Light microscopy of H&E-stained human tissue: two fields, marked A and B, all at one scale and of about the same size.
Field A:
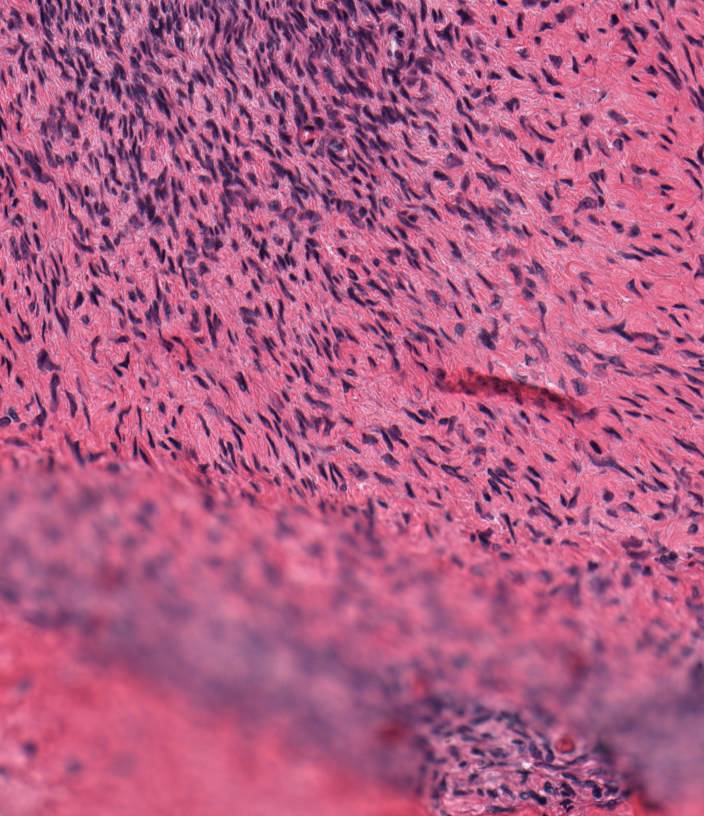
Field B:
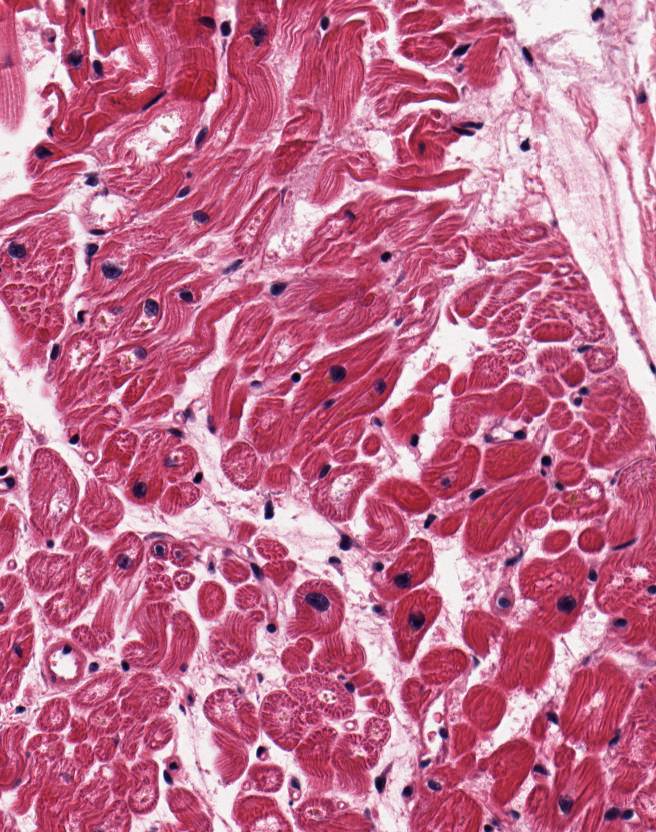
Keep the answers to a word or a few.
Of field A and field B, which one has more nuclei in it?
A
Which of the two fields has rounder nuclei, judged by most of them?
B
